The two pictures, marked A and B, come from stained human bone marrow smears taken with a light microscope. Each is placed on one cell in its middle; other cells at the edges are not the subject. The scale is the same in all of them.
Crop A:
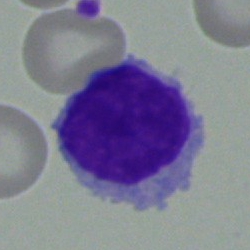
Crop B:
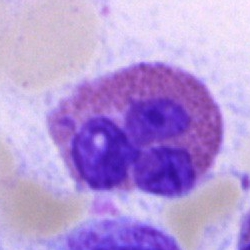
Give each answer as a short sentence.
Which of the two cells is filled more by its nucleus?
It is the cell in crop A that is filled more by its nucleus.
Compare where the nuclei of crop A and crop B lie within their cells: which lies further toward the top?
It is the nucleus in crop A that lies further toward the top of its cell.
